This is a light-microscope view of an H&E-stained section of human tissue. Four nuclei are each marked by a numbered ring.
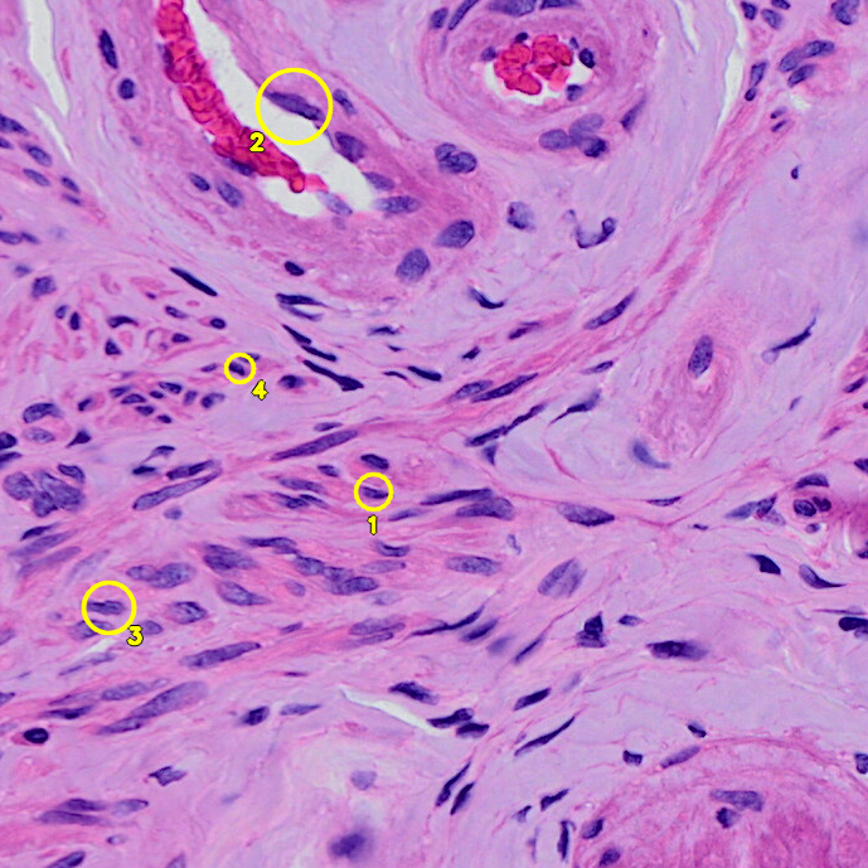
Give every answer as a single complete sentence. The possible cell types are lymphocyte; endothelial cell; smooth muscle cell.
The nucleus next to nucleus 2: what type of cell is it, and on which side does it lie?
A smooth muscle cell lies closest, to the right of nucleus 2.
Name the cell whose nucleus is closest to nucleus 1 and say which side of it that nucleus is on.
It is a smooth muscle cell, whose nucleus lies above nucleus 1.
